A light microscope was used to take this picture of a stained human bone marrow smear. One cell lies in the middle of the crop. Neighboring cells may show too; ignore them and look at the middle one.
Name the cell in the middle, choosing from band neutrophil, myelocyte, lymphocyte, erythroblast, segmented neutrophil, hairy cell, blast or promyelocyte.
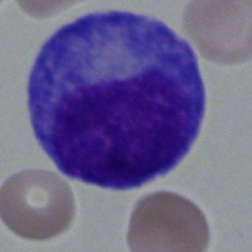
promyelocyte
